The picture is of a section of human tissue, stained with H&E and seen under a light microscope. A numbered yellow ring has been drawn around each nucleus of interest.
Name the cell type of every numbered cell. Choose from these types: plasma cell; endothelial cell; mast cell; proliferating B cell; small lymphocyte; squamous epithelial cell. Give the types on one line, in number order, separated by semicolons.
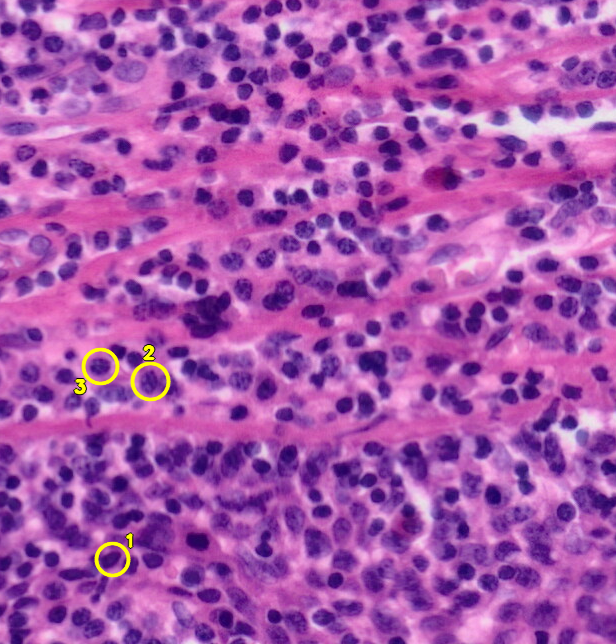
squamous epithelial cell; plasma cell; plasma cell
